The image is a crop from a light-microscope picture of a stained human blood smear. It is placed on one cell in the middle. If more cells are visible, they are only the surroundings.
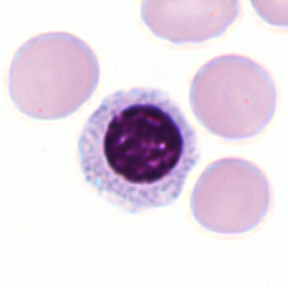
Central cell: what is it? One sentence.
In the central position of this crop, the cell is an erythroblast.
